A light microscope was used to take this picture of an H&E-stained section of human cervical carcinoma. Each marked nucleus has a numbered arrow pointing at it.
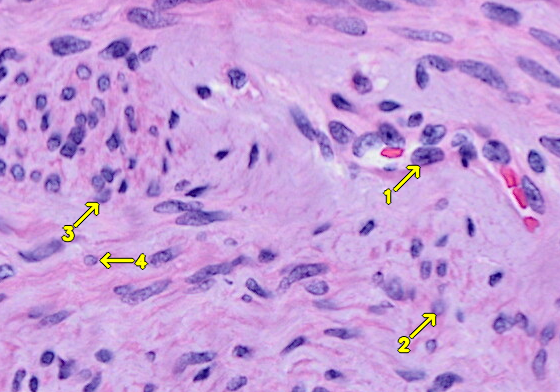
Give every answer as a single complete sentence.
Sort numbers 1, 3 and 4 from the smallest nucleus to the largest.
From smallest to largest, the order is 4, 3, 1.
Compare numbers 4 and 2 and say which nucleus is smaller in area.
Nucleus 4 covers less area, with nucleus 2 about 2 times as large.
